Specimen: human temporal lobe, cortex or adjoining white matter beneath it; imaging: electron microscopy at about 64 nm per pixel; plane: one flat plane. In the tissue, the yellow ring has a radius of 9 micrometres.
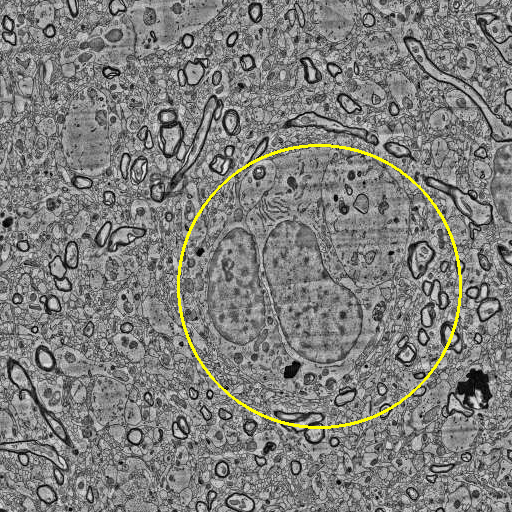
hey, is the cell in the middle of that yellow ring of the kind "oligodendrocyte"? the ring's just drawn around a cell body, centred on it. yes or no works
no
